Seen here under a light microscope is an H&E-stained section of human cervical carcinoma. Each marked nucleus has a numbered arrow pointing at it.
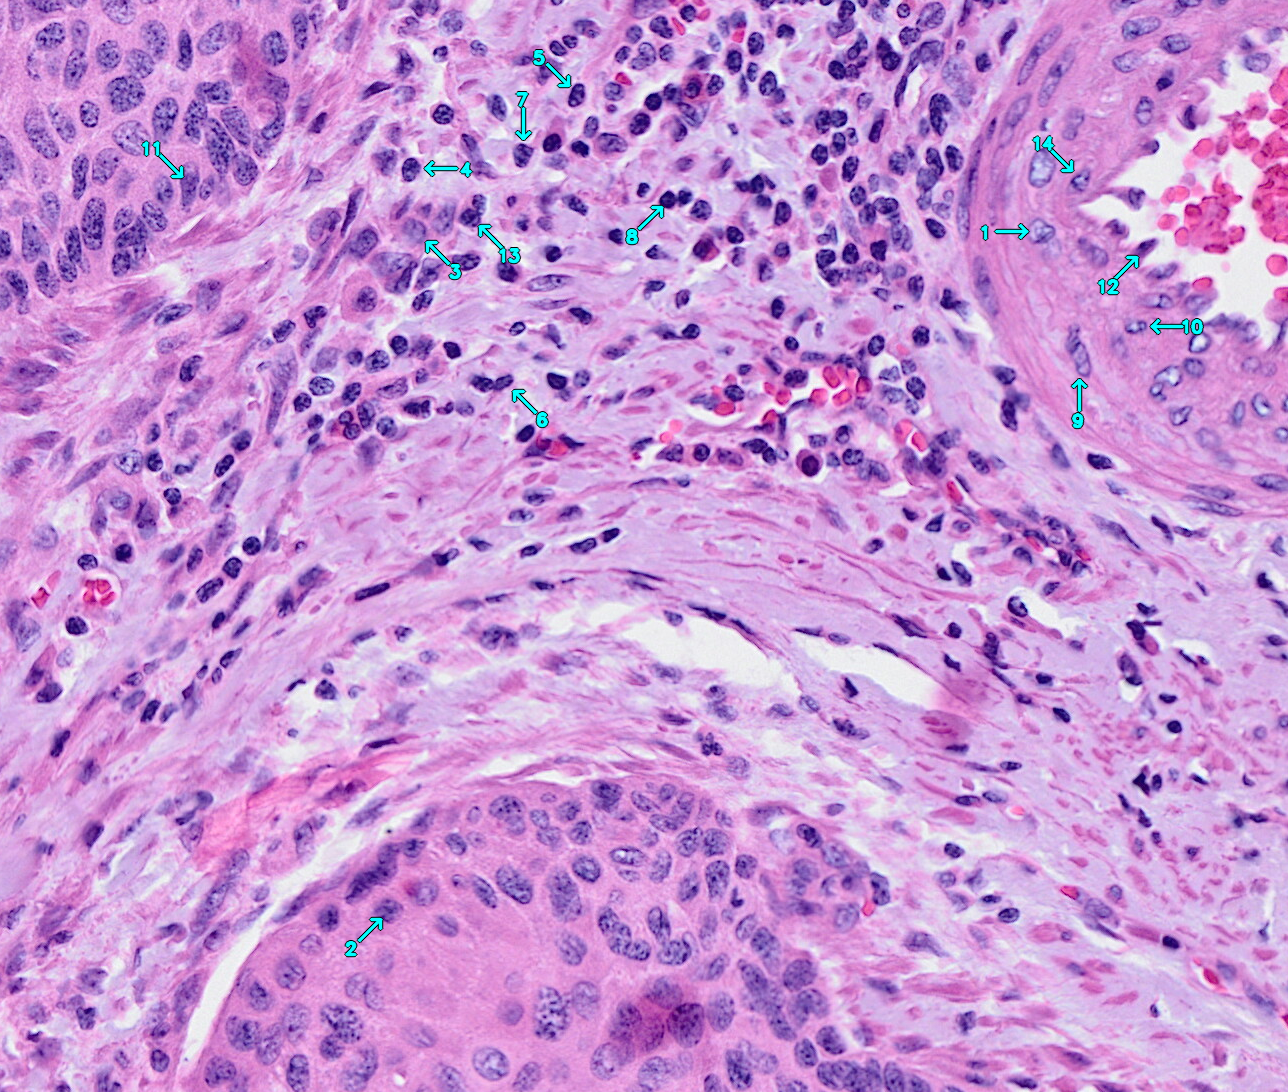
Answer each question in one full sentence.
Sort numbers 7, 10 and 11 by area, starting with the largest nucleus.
Largest first, the order by area is 11, 7, 10.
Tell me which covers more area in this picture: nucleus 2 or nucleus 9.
Nucleus 9 is larger, with an area about 2 times that of nucleus 2.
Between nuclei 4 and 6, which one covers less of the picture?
Nucleus 6 is the smaller one; nucleus 4 covers about 1.5 times its area.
